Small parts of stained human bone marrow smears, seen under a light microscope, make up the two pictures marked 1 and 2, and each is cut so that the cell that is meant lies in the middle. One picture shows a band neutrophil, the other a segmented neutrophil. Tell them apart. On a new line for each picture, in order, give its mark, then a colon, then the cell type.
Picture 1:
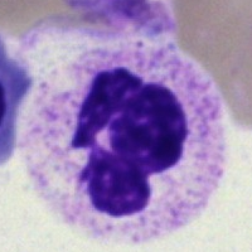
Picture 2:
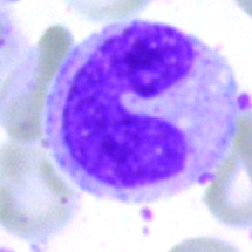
1: segmented neutrophil
2: band neutrophil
